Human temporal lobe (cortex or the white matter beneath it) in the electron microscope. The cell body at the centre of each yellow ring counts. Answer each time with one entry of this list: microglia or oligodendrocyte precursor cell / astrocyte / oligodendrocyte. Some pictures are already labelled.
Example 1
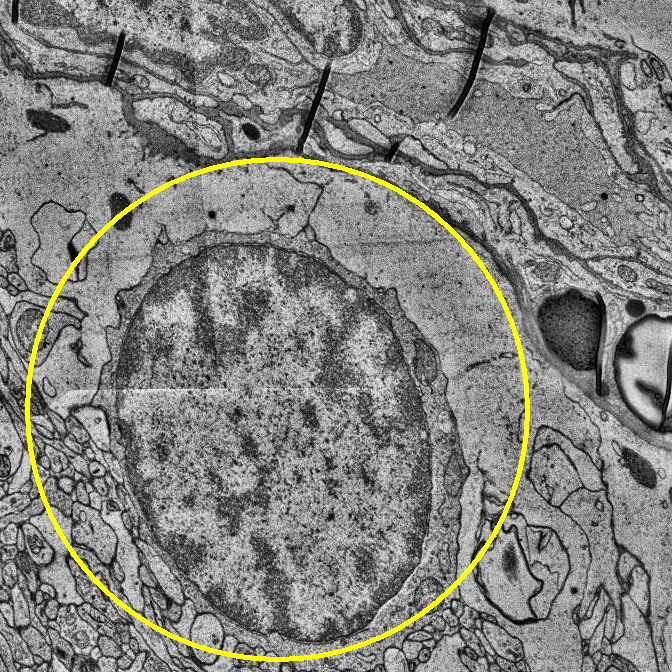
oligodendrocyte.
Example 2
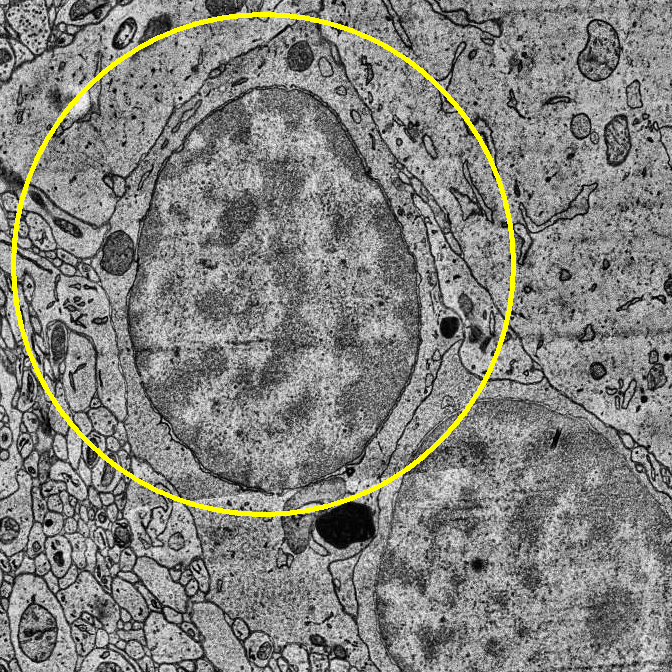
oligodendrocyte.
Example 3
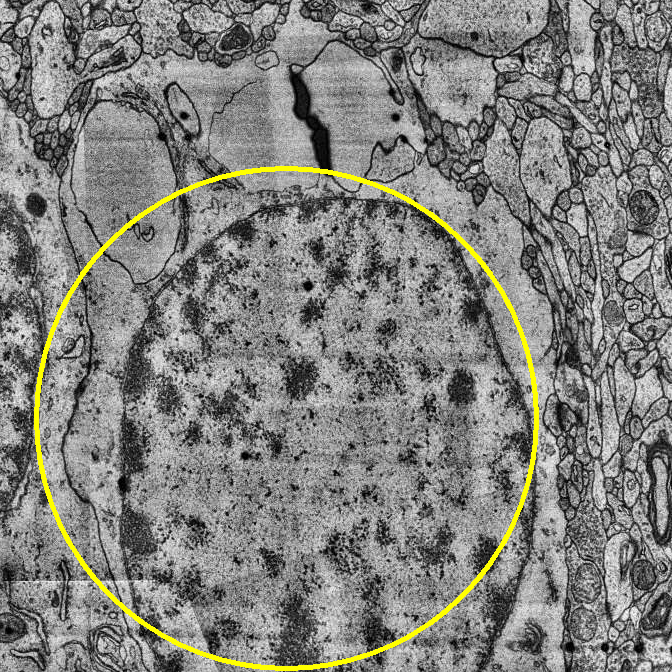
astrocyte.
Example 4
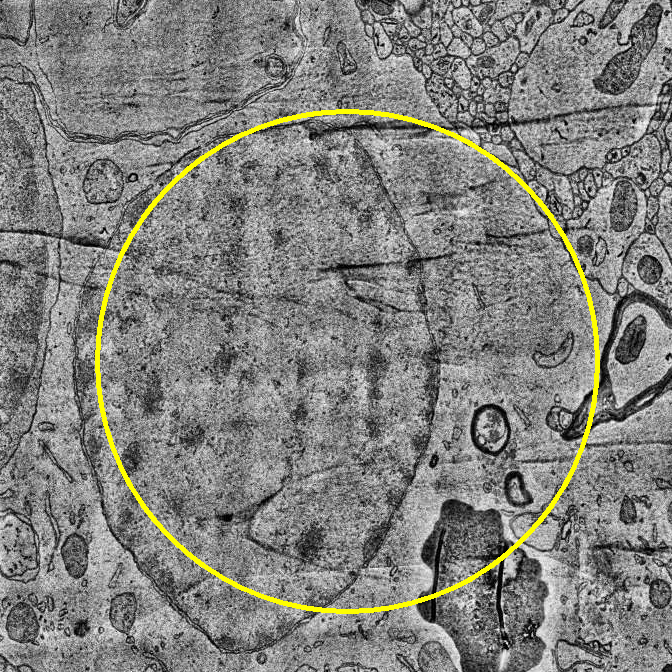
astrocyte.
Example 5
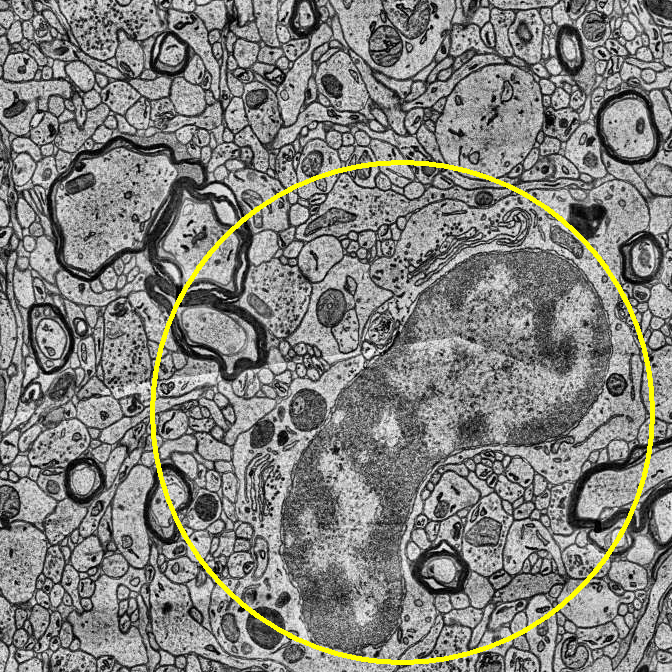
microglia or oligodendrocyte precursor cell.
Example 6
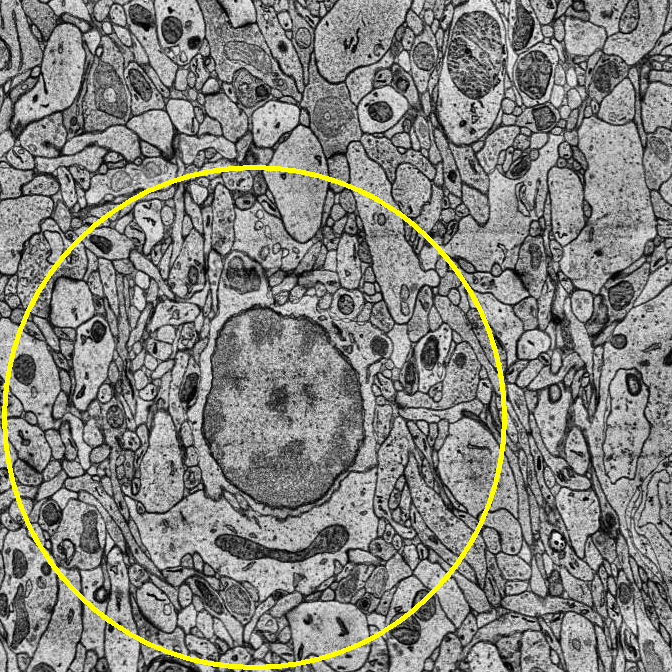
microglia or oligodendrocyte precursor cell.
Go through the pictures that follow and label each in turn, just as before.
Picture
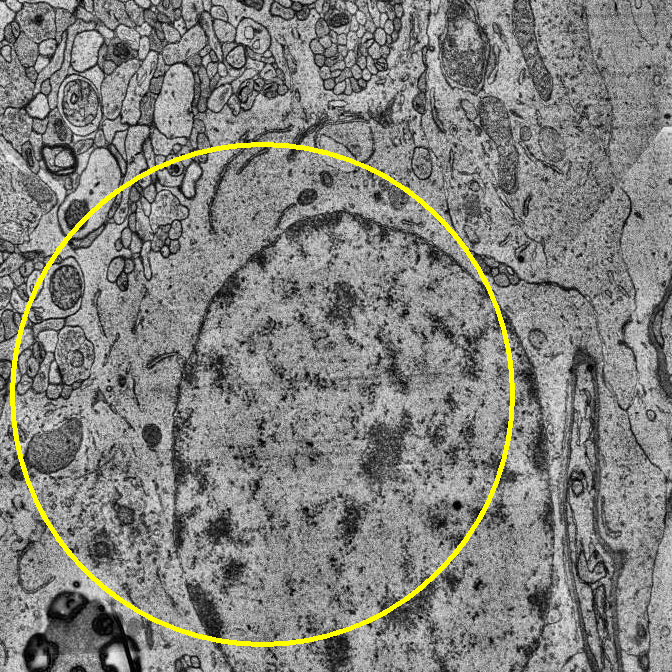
astrocyte.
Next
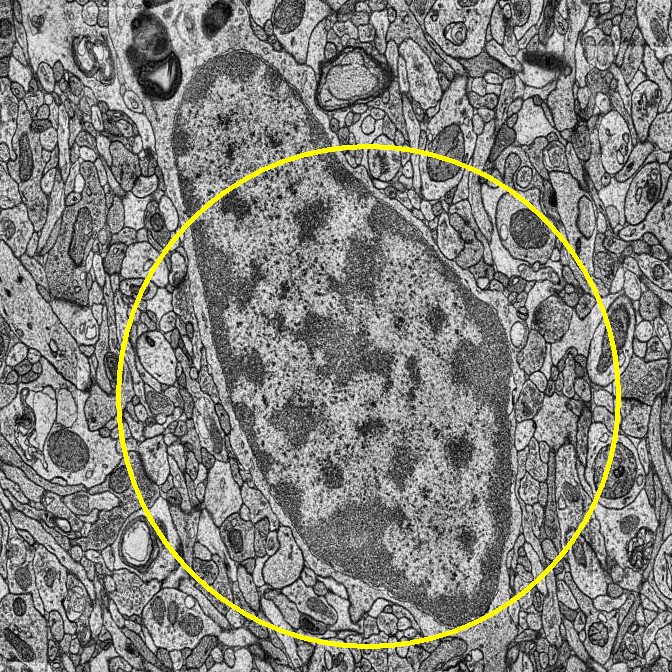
microglia or oligodendrocyte precursor cell.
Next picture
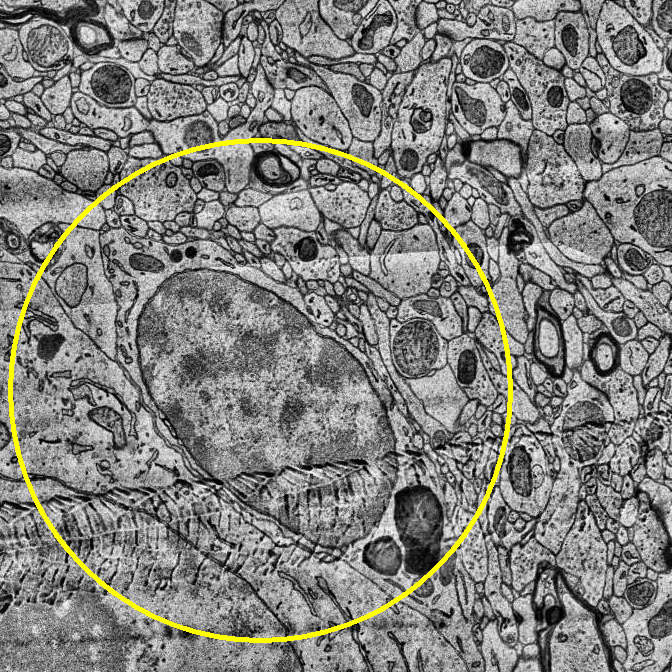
microglia or oligodendrocyte precursor cell.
